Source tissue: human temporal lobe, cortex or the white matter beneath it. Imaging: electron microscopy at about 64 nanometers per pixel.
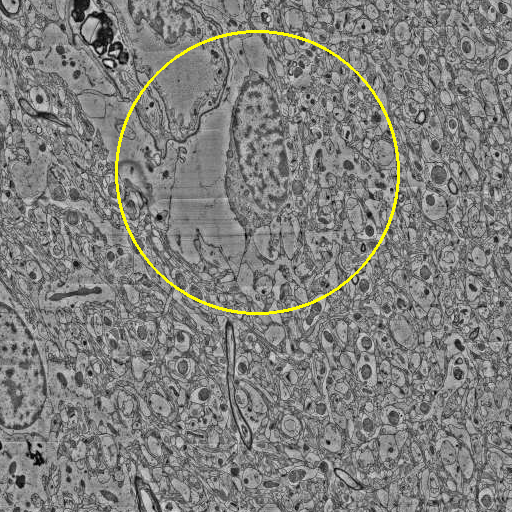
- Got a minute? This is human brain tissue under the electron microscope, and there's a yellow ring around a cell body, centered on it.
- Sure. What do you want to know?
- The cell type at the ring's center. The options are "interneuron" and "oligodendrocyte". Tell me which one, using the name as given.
oligodendrocyte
